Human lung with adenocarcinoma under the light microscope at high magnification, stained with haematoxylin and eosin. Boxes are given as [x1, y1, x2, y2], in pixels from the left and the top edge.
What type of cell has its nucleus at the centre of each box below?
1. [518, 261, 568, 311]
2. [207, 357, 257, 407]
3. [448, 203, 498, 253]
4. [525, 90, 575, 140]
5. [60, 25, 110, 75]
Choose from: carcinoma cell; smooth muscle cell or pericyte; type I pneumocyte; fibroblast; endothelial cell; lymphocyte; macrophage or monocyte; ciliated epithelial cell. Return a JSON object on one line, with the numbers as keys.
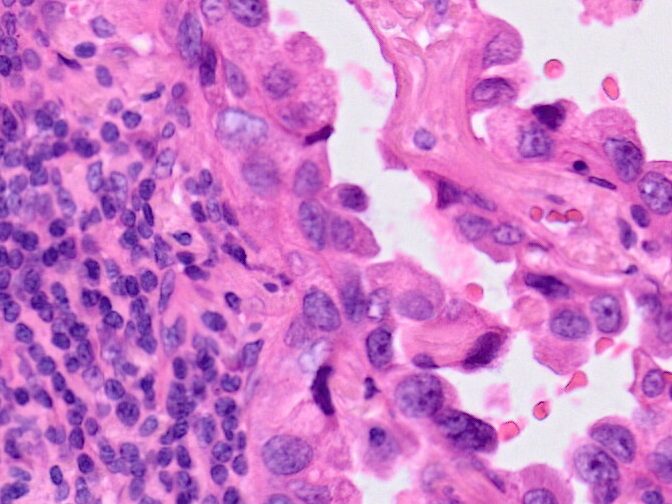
{"1": "carcinoma cell", "2": "lymphocyte", "3": "carcinoma cell", "4": "carcinoma cell", "5": "lymphocyte"}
